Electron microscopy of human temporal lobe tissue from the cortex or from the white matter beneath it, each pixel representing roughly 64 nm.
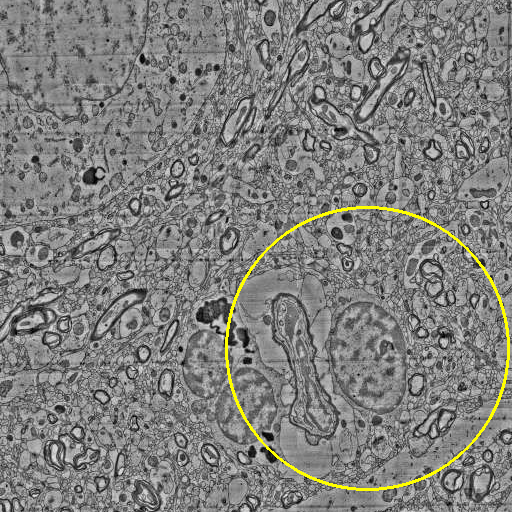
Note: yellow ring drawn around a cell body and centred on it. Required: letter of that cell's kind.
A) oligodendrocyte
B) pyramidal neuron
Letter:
A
